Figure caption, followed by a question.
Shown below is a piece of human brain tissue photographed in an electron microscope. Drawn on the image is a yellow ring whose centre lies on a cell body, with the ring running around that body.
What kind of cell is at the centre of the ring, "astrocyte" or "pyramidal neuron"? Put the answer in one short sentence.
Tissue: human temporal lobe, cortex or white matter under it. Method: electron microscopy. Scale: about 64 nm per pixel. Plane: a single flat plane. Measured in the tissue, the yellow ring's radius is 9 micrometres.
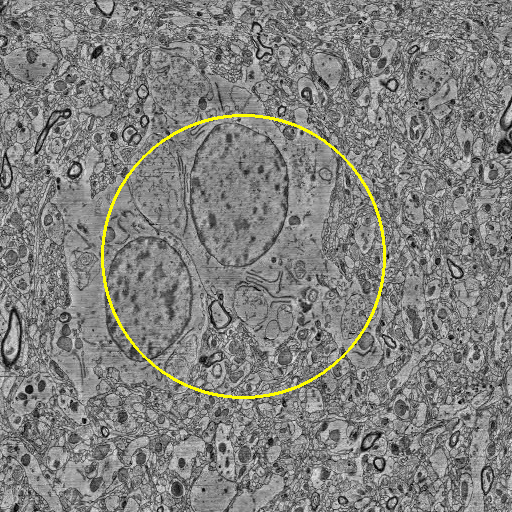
The ring marks the cell body of an astrocyte.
